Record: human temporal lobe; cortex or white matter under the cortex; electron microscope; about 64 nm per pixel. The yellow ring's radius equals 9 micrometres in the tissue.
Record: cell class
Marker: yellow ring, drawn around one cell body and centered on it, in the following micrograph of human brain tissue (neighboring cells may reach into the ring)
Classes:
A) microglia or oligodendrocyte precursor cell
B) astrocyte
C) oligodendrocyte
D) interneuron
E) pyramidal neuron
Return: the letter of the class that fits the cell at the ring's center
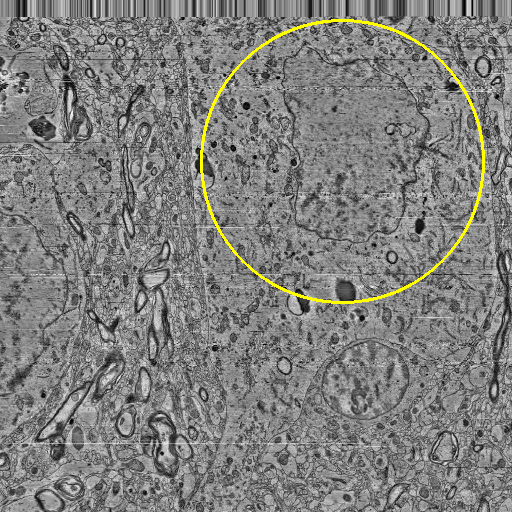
E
